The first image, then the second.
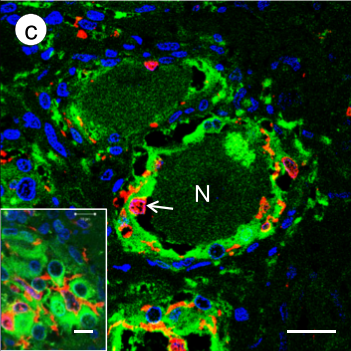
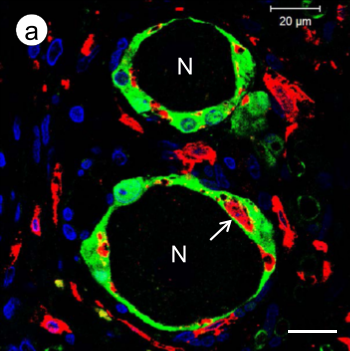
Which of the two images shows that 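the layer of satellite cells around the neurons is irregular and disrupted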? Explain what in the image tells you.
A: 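First image: the green rim around the large cell body is uneven, thick in places and thin or broken in others. That points to this answer: the first image.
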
